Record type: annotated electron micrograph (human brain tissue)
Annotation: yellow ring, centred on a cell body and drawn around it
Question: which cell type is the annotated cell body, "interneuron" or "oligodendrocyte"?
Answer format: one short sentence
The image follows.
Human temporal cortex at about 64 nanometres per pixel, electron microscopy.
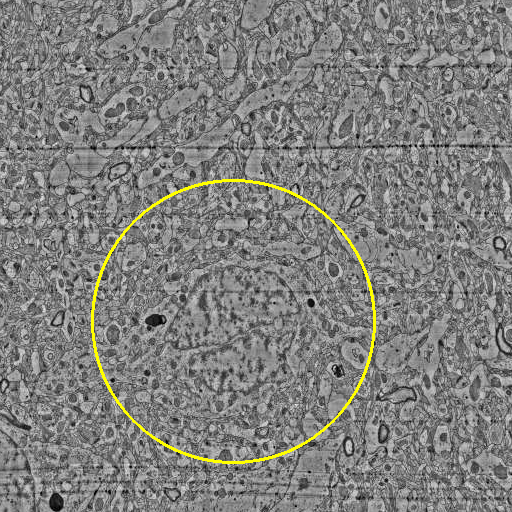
The annotated cell body is that of an interneuron.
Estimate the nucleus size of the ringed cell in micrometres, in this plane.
The nucleus appears about 8 micrometres across in this plane.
